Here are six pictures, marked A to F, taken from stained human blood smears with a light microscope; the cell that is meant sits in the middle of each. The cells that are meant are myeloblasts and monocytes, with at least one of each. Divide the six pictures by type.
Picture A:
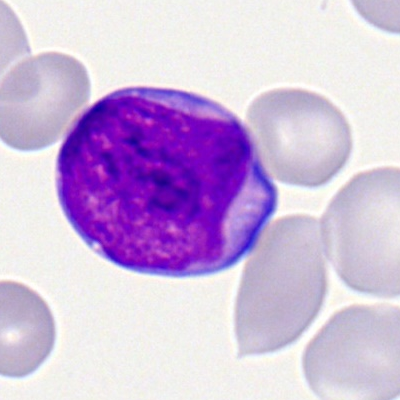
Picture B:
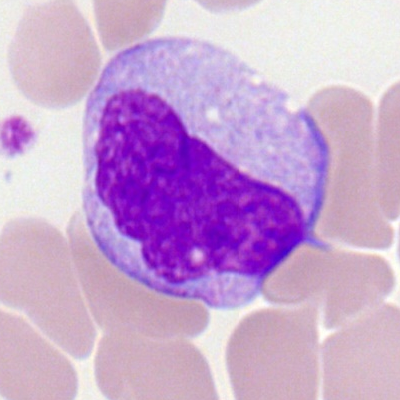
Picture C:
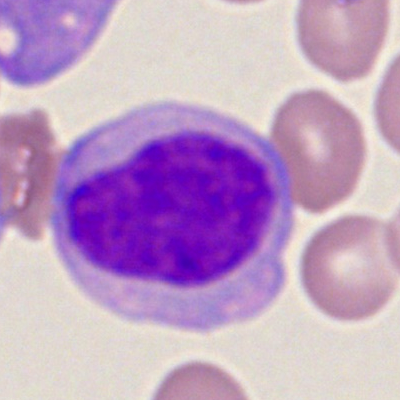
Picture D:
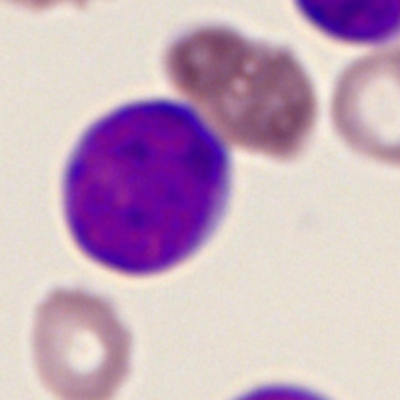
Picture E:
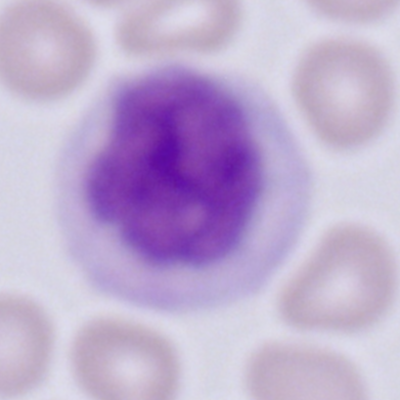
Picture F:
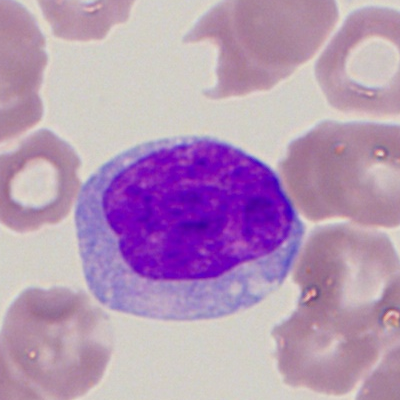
A: myeloblast
B: monocyte
C: monocyte
D: myeloblast
E: monocyte
F: monocyte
